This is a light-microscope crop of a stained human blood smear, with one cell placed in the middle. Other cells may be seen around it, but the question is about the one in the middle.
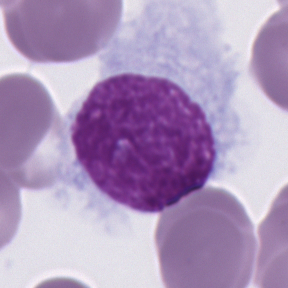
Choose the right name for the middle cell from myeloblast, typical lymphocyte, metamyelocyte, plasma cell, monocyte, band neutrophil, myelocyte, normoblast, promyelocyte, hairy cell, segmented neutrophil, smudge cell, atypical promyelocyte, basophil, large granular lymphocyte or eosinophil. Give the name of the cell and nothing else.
hairy cell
